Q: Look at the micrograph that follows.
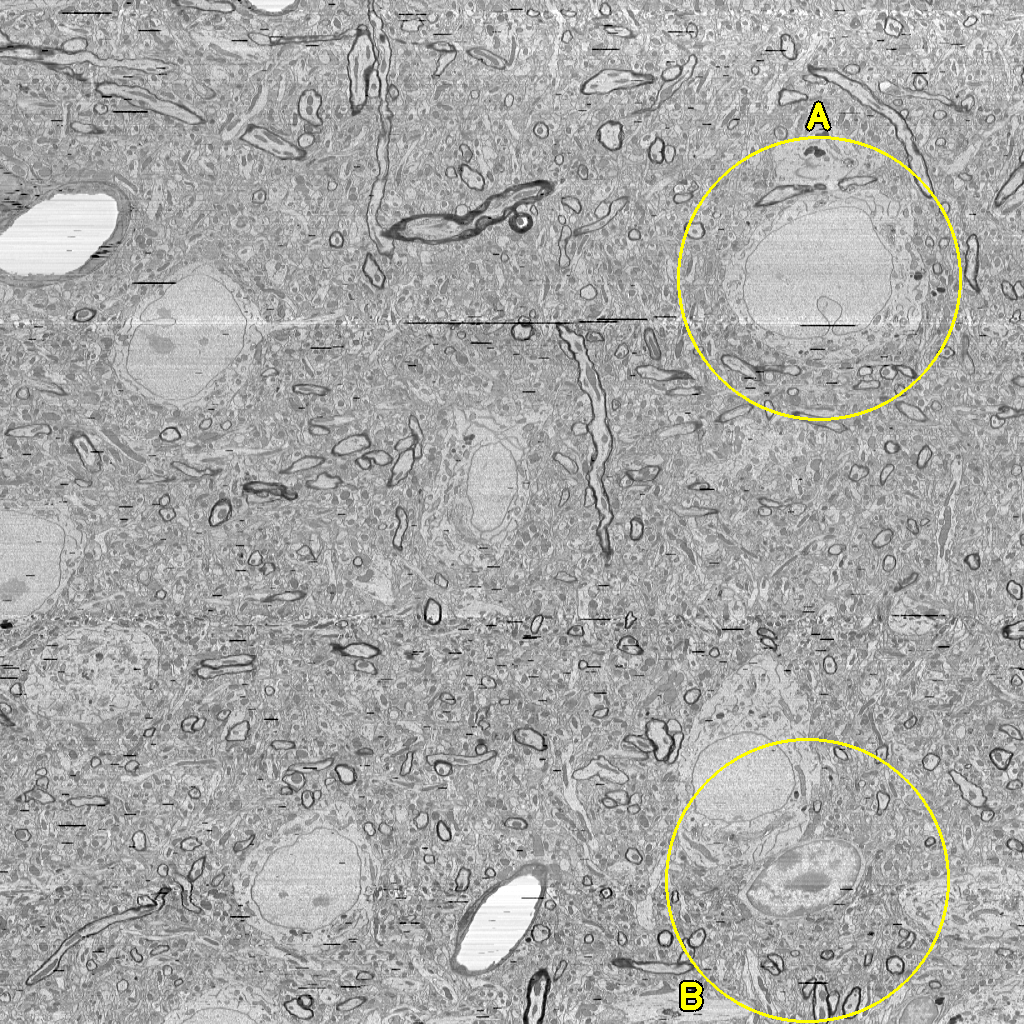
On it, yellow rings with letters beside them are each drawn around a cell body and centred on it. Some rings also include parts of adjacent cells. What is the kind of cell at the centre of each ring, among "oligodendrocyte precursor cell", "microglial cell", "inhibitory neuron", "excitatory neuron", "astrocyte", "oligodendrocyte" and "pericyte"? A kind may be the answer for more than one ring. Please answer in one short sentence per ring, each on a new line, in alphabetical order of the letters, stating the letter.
Ring A surrounds the cell body of an excitatory neuron.
Ring B surrounds the cell body of an oligodendrocyte.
